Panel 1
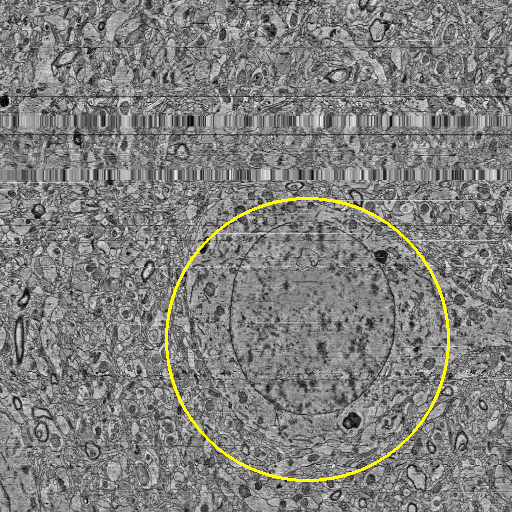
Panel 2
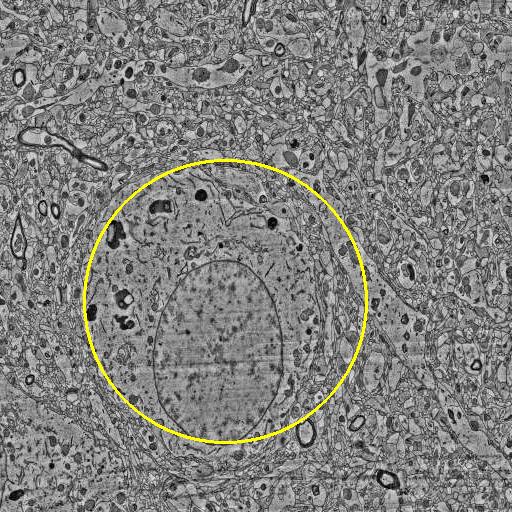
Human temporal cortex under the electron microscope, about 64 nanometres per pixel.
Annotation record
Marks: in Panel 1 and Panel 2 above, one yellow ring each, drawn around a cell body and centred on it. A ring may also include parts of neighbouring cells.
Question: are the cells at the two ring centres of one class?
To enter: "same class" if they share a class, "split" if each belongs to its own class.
same class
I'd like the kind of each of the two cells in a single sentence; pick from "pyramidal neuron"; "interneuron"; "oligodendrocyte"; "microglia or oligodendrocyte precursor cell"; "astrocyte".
The ring centre holds a pyramidal neuron in each of the two pictures.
